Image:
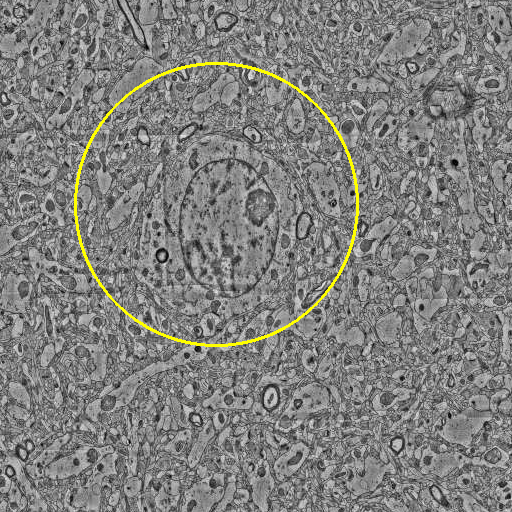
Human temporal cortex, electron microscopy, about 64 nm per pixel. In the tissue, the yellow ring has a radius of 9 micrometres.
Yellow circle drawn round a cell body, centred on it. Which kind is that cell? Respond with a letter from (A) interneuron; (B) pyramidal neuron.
B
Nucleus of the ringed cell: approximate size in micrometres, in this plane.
The nucleus measures about 9 by 7 micrometres in this plane.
